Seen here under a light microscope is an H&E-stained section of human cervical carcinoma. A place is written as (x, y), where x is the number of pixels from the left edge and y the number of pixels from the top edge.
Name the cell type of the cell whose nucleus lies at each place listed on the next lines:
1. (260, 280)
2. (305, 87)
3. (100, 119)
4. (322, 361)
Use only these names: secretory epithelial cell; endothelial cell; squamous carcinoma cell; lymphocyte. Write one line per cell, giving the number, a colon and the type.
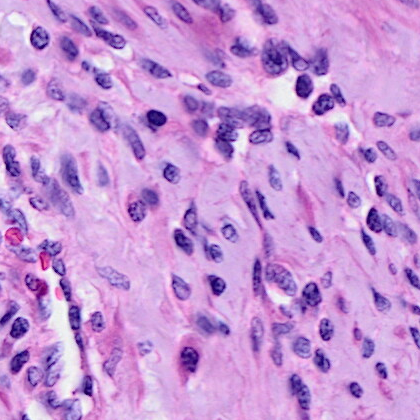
1: endothelial cell
2: lymphocyte
3: lymphocyte
4: lymphocyte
